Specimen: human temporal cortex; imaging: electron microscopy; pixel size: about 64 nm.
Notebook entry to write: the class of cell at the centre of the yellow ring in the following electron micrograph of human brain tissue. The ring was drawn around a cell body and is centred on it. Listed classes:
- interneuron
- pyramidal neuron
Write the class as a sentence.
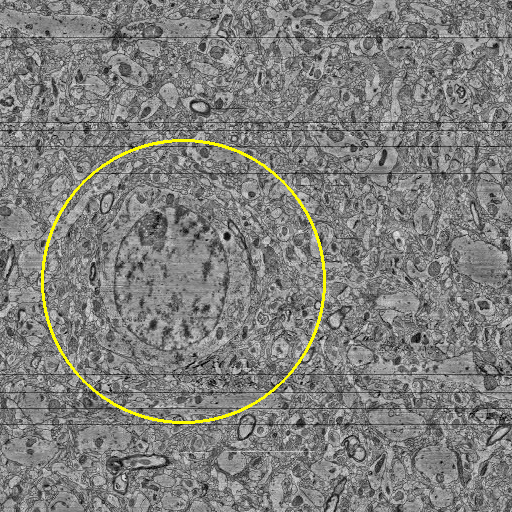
The yellow ring sits on a pyramidal neuron.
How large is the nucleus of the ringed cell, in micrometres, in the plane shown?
The ringed cell's nucleus measures approximately 9 by 7 micrometres in this plane.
